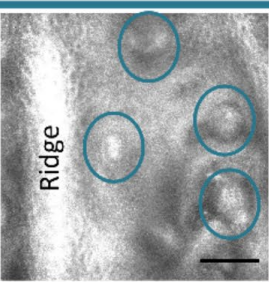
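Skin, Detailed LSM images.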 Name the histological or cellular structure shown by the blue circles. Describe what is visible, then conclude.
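Meissner corpuscles. The circled bodies lie beside a bright vertical ridge.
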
